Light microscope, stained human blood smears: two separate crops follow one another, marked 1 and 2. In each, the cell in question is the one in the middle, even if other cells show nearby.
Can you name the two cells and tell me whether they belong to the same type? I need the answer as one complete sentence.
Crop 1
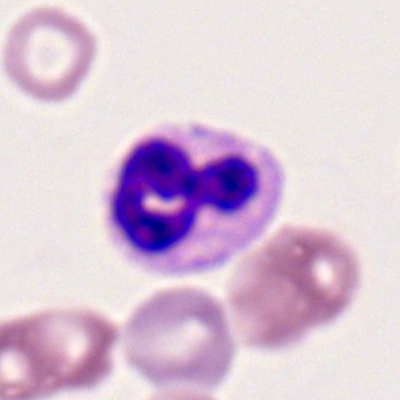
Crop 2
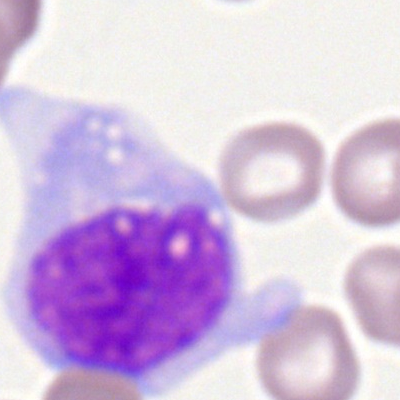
No, a neutrophil is shown in crop 1 and a monocyte in crop 2.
